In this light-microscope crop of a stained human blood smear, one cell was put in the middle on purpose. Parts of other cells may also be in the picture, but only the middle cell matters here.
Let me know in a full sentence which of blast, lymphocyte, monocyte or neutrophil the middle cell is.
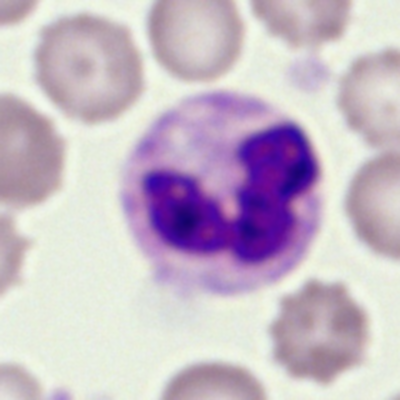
The crop shows a neutrophil in its centre.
